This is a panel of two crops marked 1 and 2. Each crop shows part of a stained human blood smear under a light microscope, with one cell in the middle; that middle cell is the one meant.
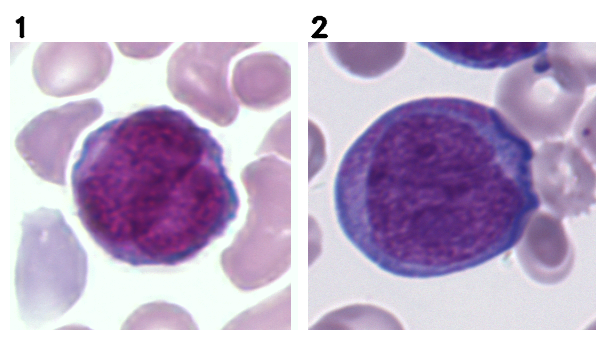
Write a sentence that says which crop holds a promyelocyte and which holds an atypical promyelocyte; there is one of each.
The central cell of crop 1 is an atypical promyelocyte, and that of crop 2 is a promyelocyte.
